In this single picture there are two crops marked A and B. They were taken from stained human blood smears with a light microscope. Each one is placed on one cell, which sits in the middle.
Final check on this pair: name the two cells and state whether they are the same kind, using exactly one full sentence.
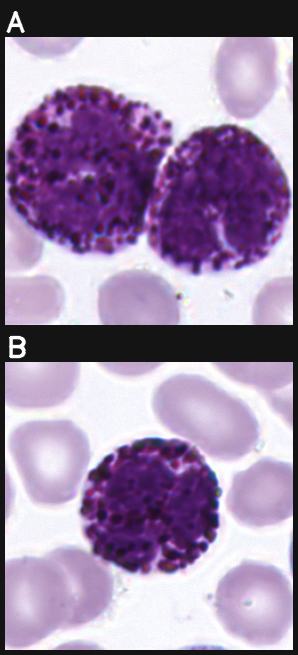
Yes, the two crops are alike in showing basophils.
